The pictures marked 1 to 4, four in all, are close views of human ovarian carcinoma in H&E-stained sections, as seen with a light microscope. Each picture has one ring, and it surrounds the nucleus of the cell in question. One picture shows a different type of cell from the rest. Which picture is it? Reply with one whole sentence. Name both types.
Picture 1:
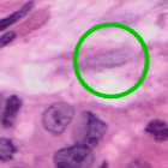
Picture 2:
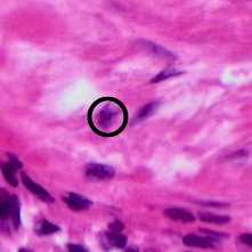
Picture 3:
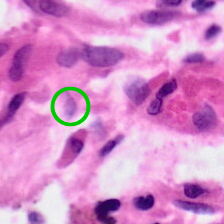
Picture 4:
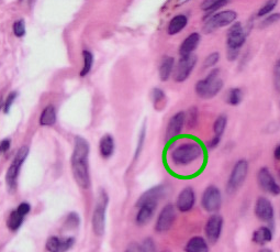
Picture 4 differs, because its cell is an endothelial cell and the rest are fibroblasts.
